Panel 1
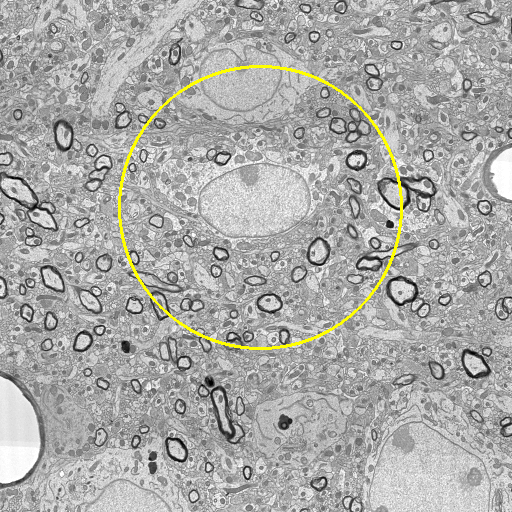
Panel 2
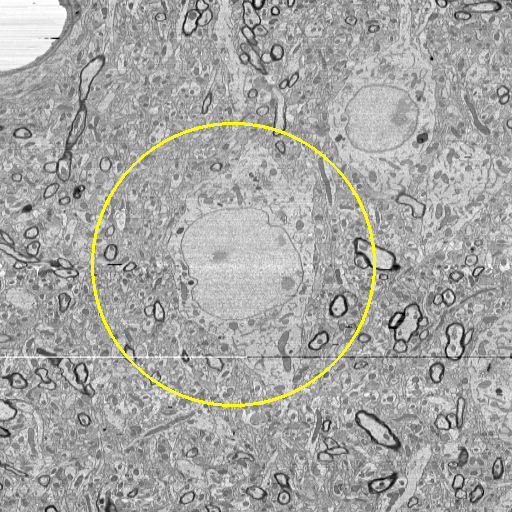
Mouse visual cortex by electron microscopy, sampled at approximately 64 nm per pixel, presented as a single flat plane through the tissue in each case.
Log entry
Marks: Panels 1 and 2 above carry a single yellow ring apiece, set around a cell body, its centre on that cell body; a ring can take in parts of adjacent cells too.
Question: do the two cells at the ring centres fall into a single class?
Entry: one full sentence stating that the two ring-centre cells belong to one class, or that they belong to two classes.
The two ring-centre cells in Panels 1 and 2 belong to two classes.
